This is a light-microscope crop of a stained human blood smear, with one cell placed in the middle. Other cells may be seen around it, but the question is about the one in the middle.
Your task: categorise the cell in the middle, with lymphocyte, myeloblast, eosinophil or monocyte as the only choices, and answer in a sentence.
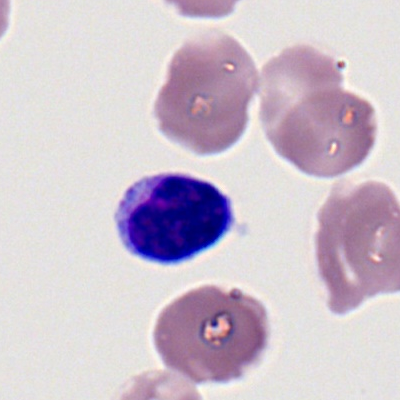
The cell of interest, in the center, is a lymphocyte.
